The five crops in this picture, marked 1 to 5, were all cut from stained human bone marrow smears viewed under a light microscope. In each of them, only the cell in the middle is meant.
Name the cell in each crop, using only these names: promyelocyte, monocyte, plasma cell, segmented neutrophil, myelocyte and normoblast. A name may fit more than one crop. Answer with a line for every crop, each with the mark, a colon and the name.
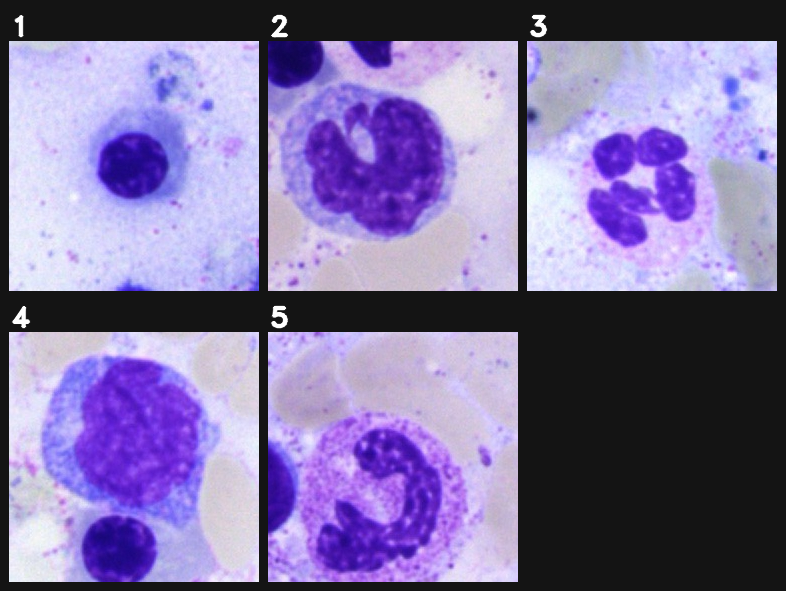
1: normoblast
2: monocyte
3: segmented neutrophil
4: monocyte
5: segmented neutrophil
